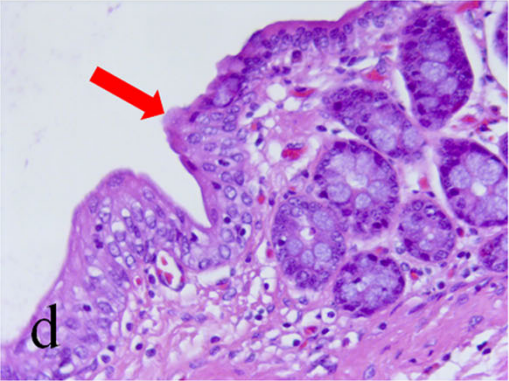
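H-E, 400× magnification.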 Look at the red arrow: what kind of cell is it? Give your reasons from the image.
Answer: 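Transitional epithelial cells. Multilayered epithelium with pale, rounded cells on the left. The arrow points where this layered epithelium meets and extends over a mucosa of goblet-cell-rich glands on the right.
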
